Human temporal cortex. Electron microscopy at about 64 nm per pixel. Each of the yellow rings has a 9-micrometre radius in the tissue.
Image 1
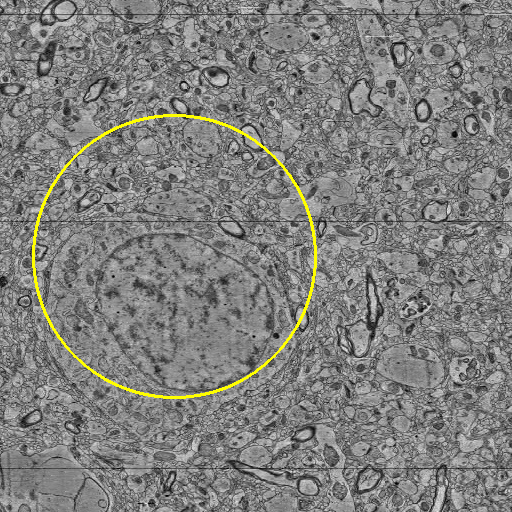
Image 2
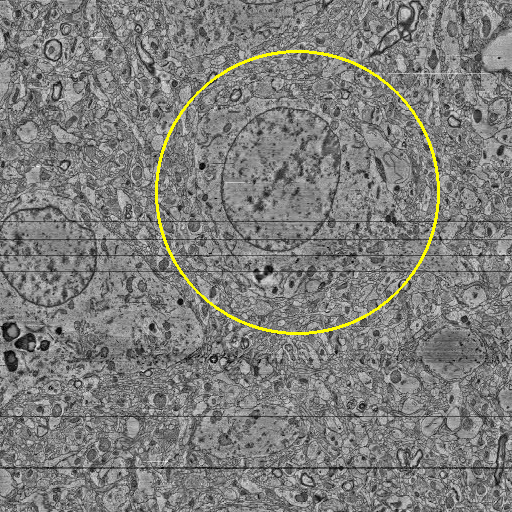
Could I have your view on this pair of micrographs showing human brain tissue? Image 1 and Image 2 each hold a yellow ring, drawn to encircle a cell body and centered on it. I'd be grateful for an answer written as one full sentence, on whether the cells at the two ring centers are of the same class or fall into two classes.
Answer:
The cells at the centers of the two rings fall into two classes.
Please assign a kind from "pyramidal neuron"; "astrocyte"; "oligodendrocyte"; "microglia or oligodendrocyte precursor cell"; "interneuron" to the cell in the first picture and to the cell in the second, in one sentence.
In the first picture we have an interneuron, and in the second, a pyramidal neuron.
